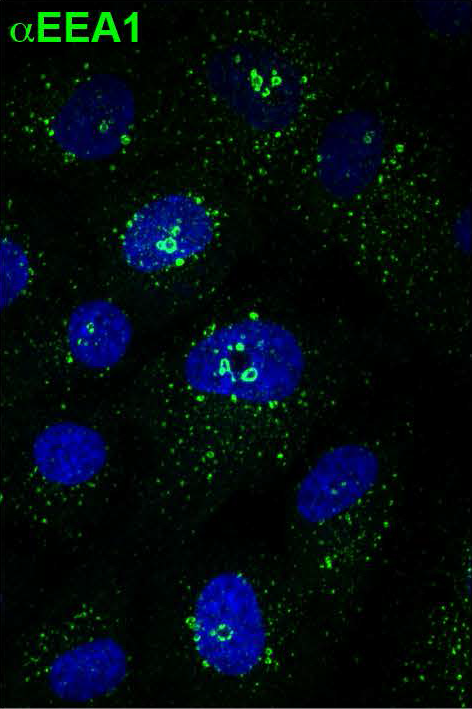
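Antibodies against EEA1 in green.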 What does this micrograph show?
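A field of cultured cells with oval blue nuclei and green endosomes spread through the cytoplasm as small puncta. In several cells large green rings lie over or next to the nucleus.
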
